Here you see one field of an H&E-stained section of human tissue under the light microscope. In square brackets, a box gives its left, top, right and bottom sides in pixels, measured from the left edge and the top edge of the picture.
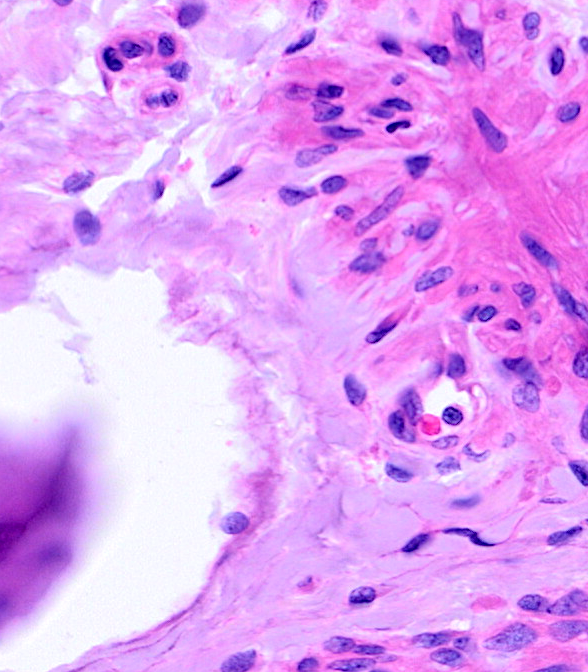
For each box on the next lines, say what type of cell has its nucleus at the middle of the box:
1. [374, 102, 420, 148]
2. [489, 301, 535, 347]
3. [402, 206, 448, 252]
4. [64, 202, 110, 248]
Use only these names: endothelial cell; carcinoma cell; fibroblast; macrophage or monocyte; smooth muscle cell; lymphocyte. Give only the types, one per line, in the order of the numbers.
smooth muscle cell
smooth muscle cell
smooth muscle cell
fibroblast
